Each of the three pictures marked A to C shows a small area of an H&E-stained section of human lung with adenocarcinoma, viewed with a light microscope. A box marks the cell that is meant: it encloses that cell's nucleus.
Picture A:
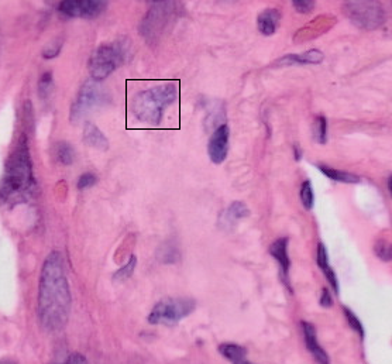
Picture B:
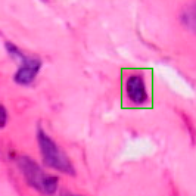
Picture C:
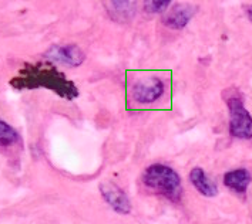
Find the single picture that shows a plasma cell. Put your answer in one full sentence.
The cell in picture C is the plasma cell.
